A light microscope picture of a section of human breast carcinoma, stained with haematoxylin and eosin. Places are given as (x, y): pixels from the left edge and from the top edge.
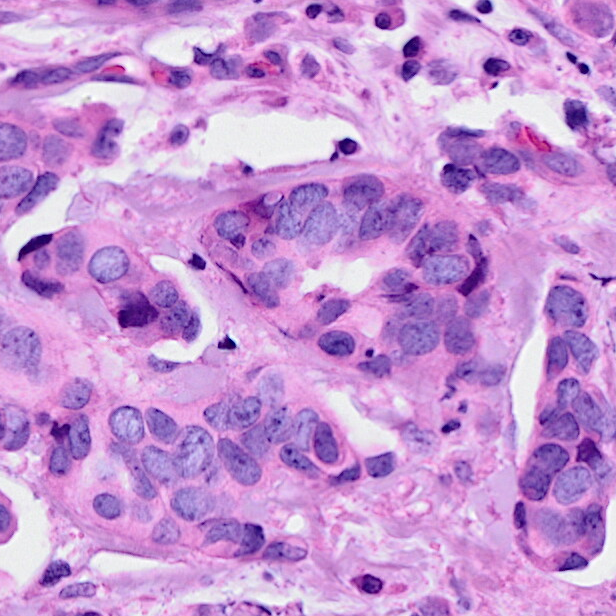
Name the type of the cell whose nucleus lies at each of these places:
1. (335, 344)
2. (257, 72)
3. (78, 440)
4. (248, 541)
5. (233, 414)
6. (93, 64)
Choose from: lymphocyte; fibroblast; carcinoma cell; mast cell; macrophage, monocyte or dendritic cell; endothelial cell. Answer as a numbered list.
1. carcinoma cell
2. endothelial cell
3. carcinoma cell
4. carcinoma cell
5. carcinoma cell
6. endothelial cell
